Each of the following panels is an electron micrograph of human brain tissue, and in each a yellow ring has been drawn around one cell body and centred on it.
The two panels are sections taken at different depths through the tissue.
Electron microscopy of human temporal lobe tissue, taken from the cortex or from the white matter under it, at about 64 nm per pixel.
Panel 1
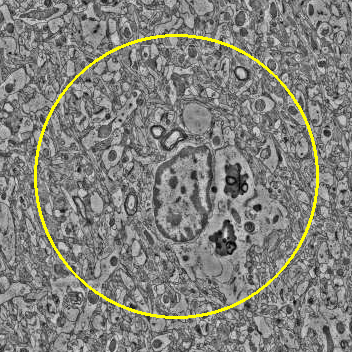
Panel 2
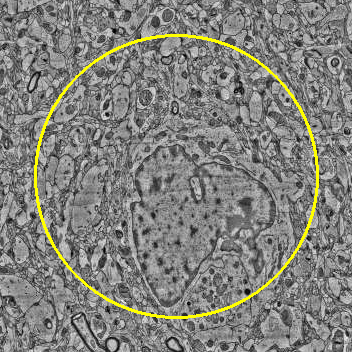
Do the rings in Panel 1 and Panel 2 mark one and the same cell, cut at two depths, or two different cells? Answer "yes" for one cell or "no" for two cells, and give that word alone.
no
